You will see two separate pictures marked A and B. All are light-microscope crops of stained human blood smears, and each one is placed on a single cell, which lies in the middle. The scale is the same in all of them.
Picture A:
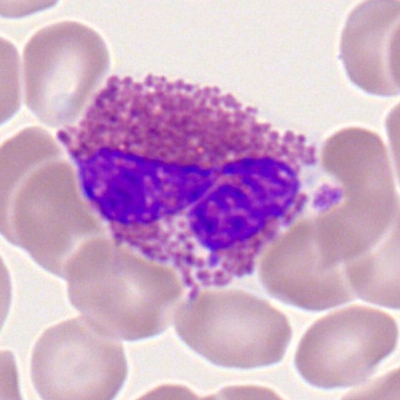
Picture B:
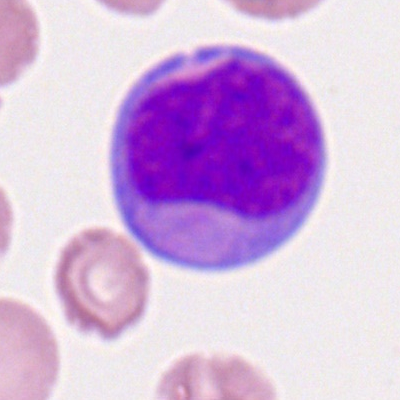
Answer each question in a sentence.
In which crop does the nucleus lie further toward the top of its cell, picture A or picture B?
Seen within its cell, the nucleus in picture B lies further toward the top.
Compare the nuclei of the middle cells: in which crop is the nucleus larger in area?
Larger is the nucleus in picture B, at roughly 2 times the area of the other.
